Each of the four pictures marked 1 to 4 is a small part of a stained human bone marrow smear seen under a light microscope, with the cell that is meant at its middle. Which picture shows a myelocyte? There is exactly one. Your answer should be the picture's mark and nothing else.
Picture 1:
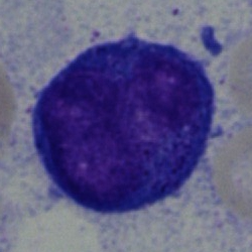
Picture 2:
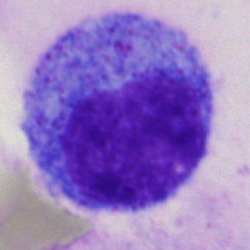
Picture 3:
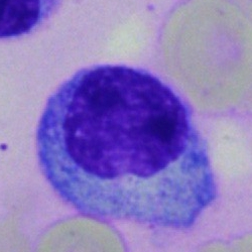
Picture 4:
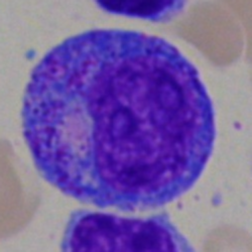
3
